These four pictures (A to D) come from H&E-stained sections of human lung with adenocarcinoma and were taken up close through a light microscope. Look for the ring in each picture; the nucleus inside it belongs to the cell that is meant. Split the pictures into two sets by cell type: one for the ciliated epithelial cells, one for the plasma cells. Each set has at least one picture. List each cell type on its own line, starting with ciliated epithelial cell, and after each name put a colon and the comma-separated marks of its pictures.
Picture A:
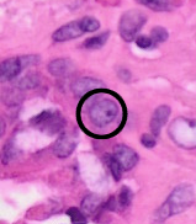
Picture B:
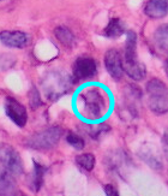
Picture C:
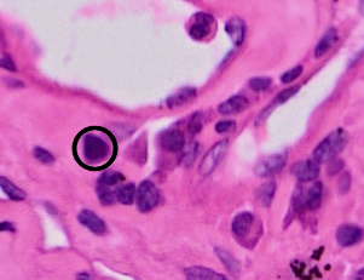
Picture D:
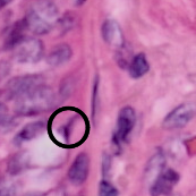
ciliated epithelial cell: A, B, D
plasma cell: C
